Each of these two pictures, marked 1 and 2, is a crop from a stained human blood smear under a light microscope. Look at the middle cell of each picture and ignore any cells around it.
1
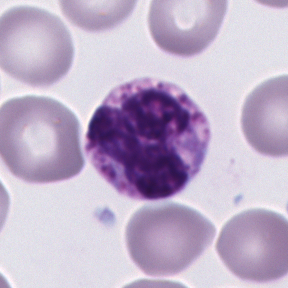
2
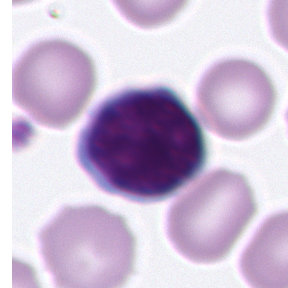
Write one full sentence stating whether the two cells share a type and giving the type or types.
No, a basophil is in crop 1, while a lymphocyte is in crop 2.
